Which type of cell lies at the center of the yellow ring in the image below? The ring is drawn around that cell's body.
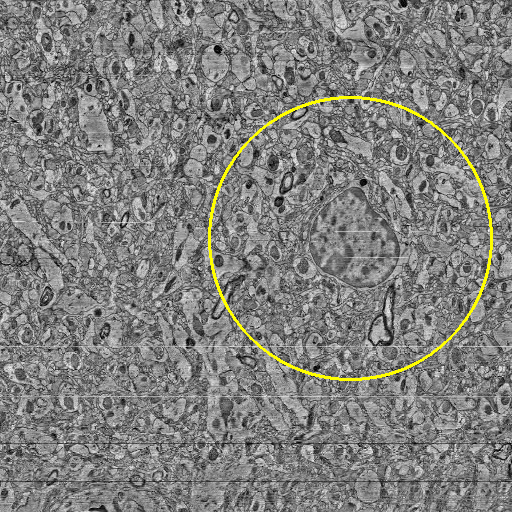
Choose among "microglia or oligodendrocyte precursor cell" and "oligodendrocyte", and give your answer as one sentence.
The cell body at the center belongs to a microglial cell or oligodendrocyte precursor cell.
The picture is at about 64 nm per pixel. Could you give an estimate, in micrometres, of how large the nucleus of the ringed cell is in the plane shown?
In this plane, roughly 7 by 6 micrometres.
